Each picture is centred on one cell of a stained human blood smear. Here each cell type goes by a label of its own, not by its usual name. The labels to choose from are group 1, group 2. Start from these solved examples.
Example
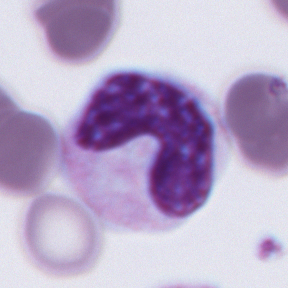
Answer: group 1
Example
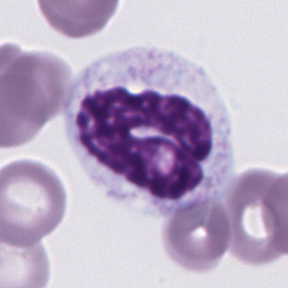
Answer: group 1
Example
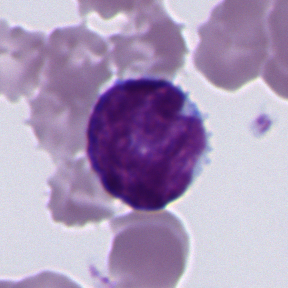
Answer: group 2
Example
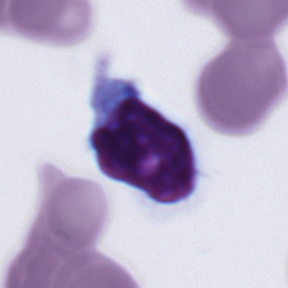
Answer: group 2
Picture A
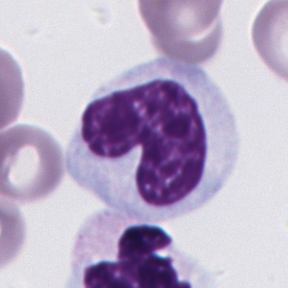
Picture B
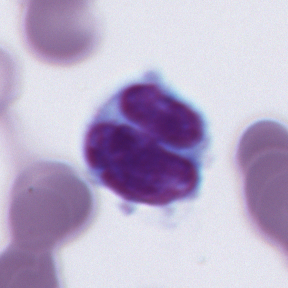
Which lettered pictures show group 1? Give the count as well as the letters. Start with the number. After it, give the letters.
1: A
